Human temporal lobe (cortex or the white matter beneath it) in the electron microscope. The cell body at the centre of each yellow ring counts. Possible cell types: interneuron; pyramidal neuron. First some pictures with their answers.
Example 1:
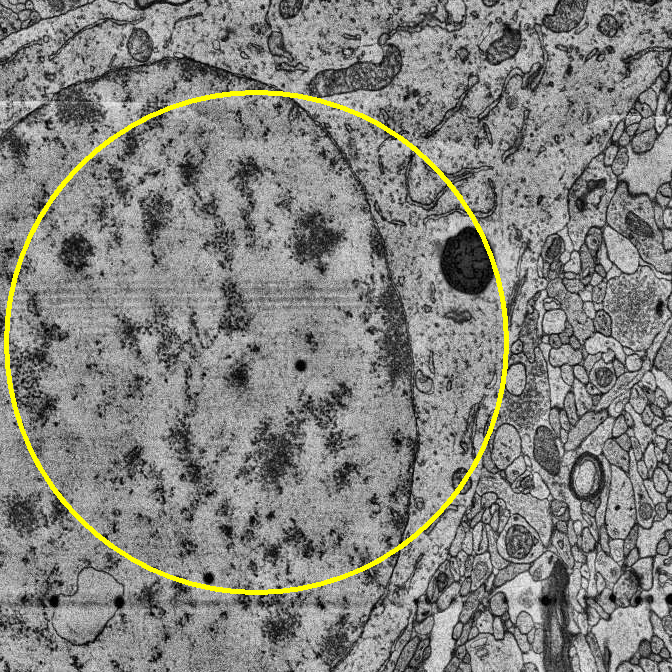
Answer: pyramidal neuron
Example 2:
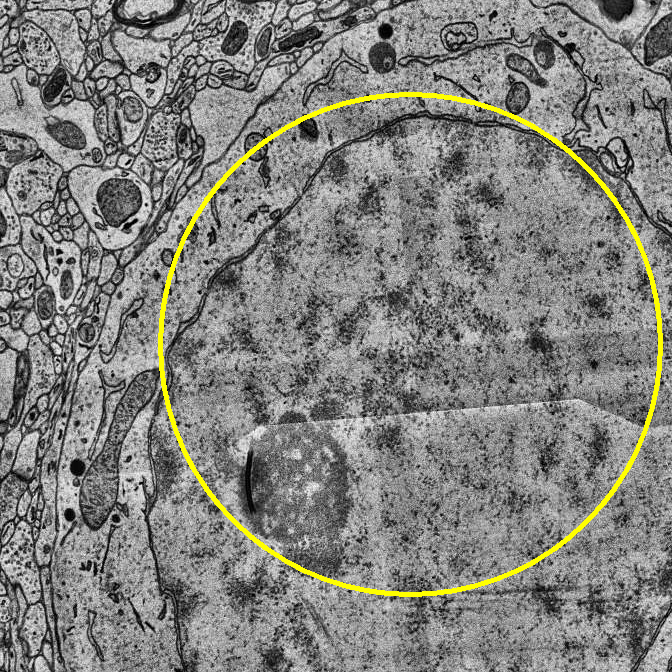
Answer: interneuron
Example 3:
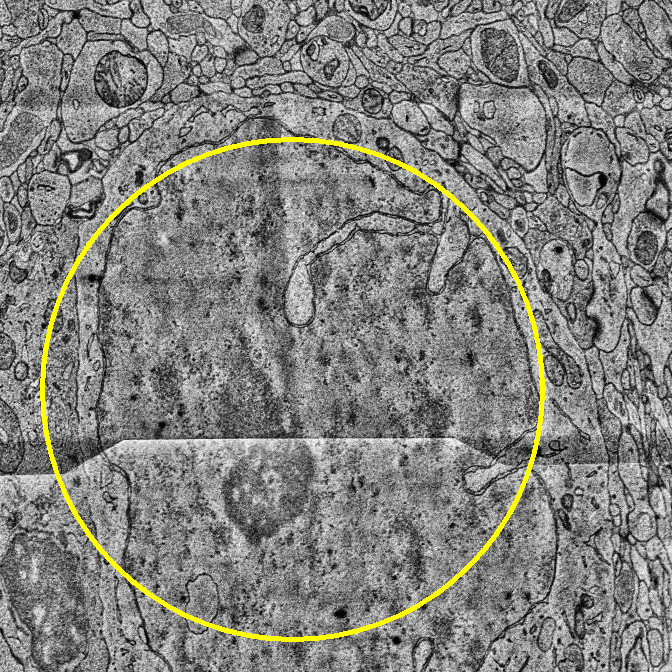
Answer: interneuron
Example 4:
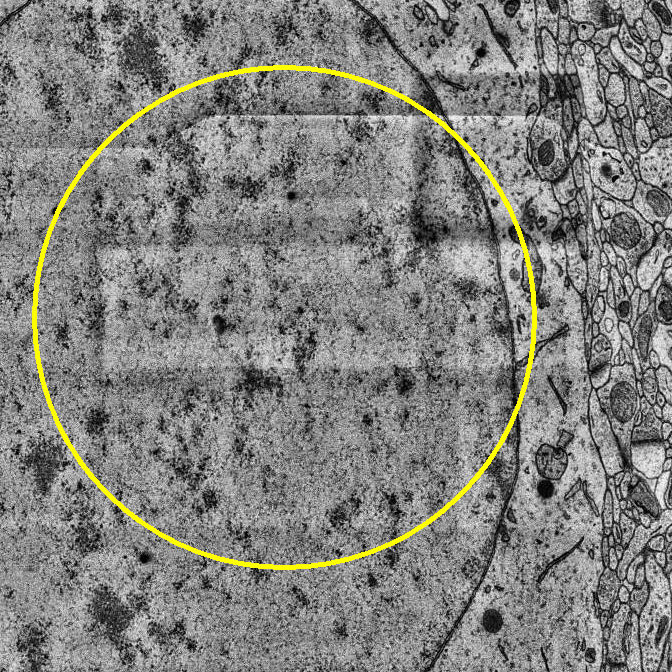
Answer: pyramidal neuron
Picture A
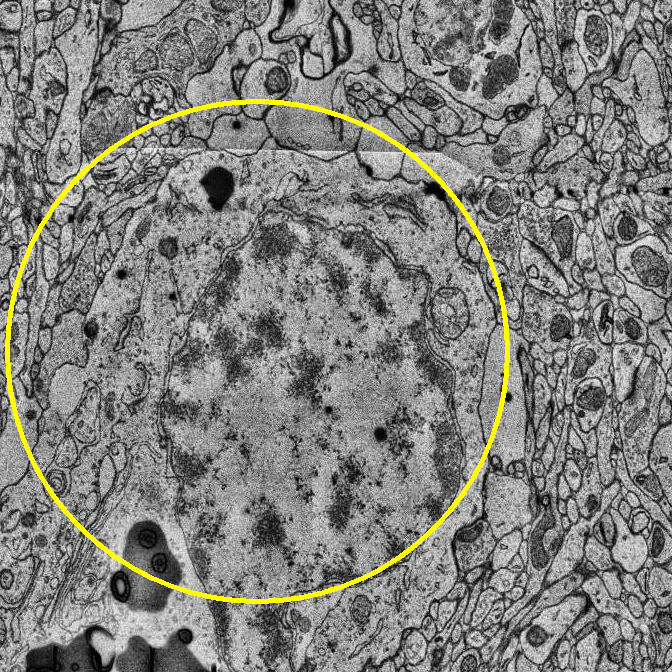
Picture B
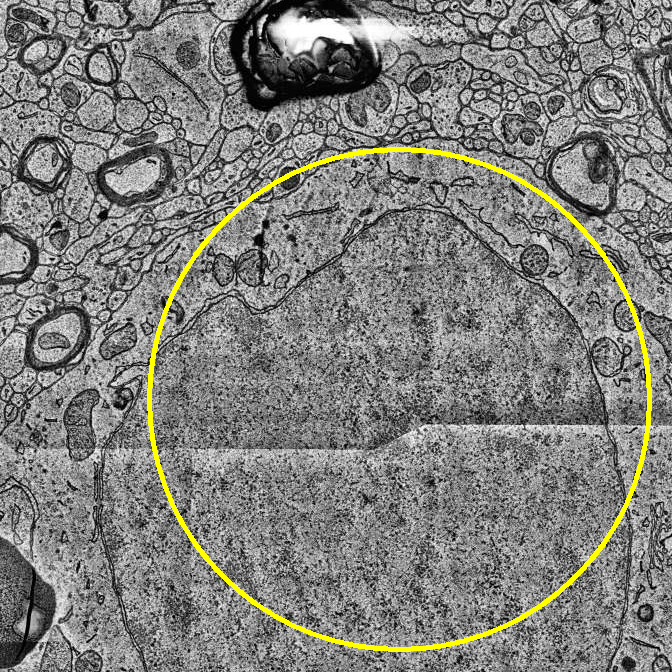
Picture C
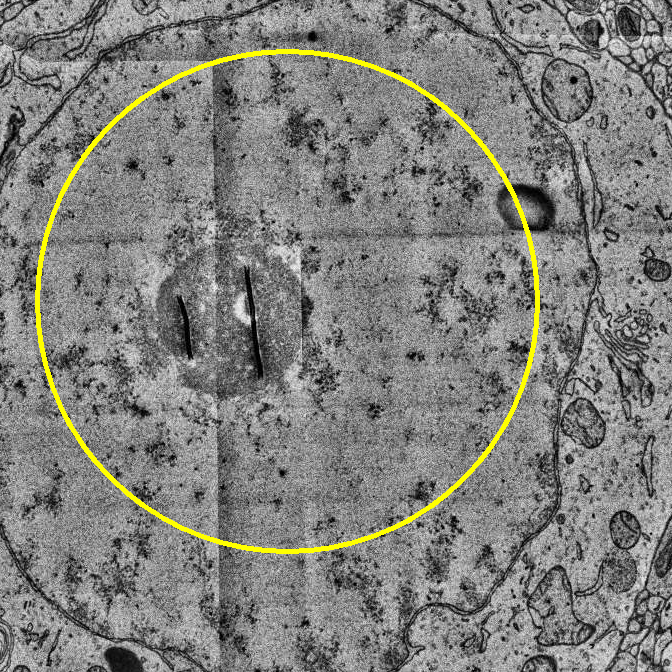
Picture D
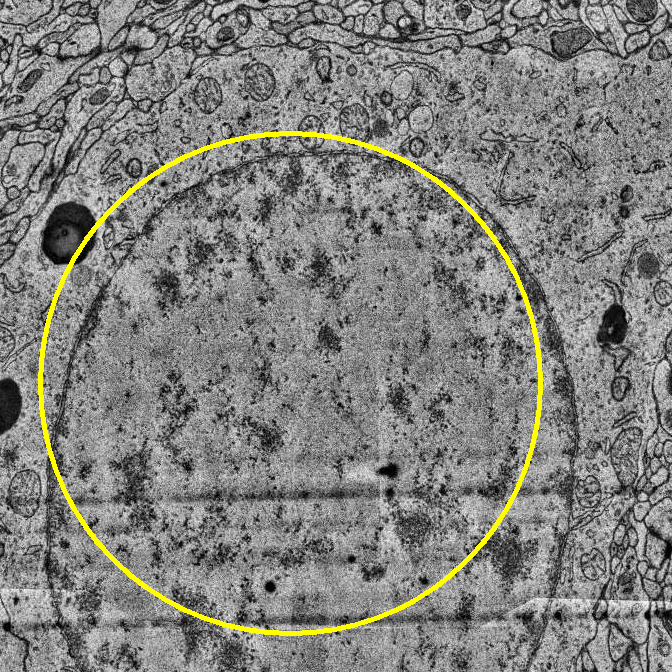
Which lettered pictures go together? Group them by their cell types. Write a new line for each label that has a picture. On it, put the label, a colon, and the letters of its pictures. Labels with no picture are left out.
interneuron: A, B
pyramidal neuron: C, D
